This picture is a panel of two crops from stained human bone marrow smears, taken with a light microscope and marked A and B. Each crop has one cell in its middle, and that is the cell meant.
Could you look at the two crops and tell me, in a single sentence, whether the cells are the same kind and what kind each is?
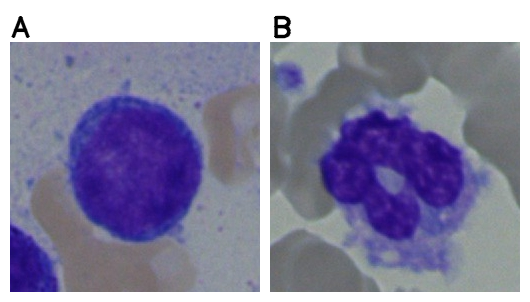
No, crop B holds a monocyte, while crop A holds a blast.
